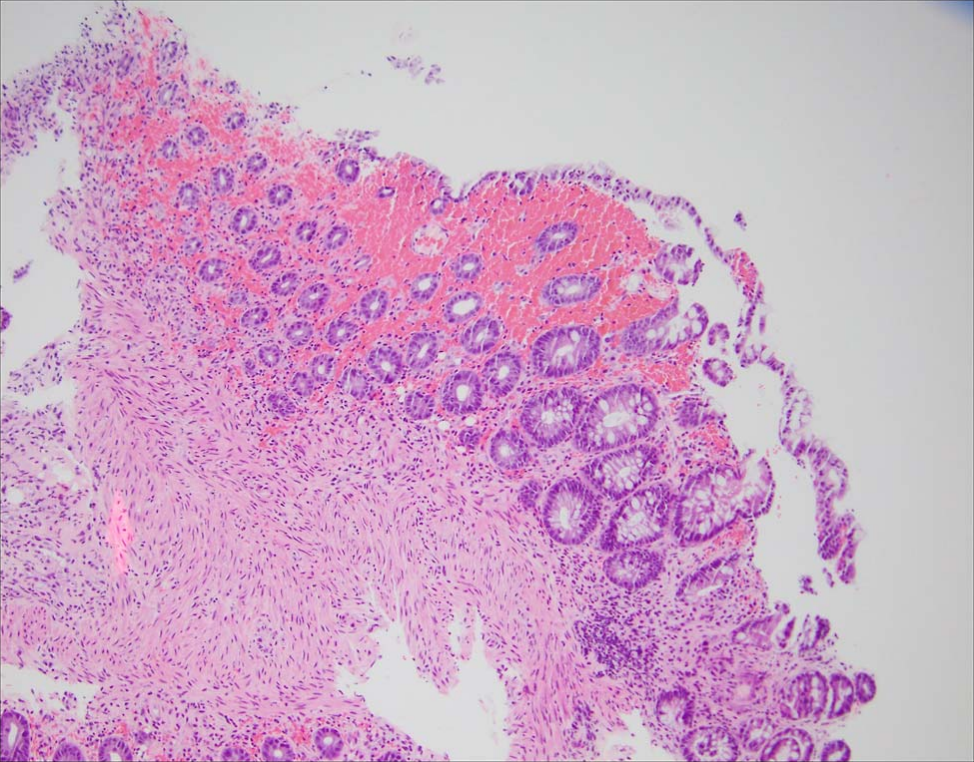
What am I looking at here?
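This is colonic mucosa with tubular crypts lined by columnar epithelium that is rich in goblet cells; the crypts are seen mostly in cross-section. In the upper part, bright red sheets of extravasated red blood cells fill the lamina propria between the crypts. The crypts vary in size and spacing, and some of the surface epithelium is detached and fragmented. Below the crypts lies pale pink tissue made of streaming spindle cells, and a small cluster of lymphocytes sits near the lower right.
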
